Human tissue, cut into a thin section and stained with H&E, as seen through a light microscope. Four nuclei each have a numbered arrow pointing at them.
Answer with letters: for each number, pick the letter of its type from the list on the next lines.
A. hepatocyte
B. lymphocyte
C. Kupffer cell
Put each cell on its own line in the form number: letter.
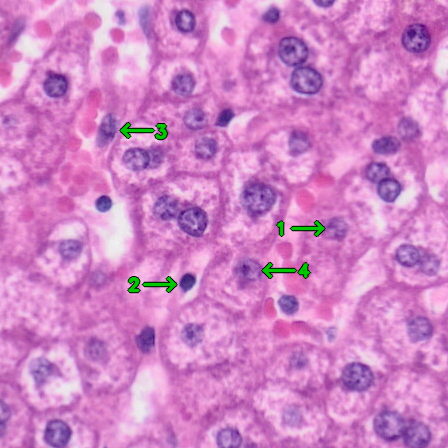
1: A
2: B
3: C
4: A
